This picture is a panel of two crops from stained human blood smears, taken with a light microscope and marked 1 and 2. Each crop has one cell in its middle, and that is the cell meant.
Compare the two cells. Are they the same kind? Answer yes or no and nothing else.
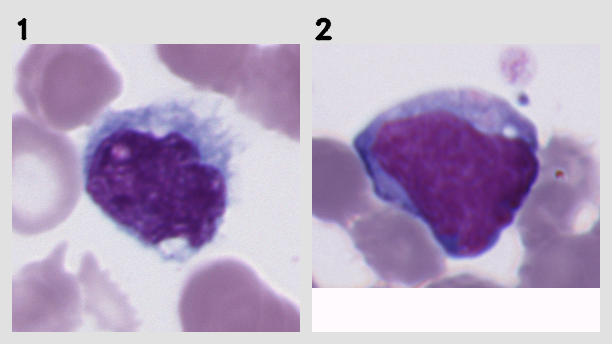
no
